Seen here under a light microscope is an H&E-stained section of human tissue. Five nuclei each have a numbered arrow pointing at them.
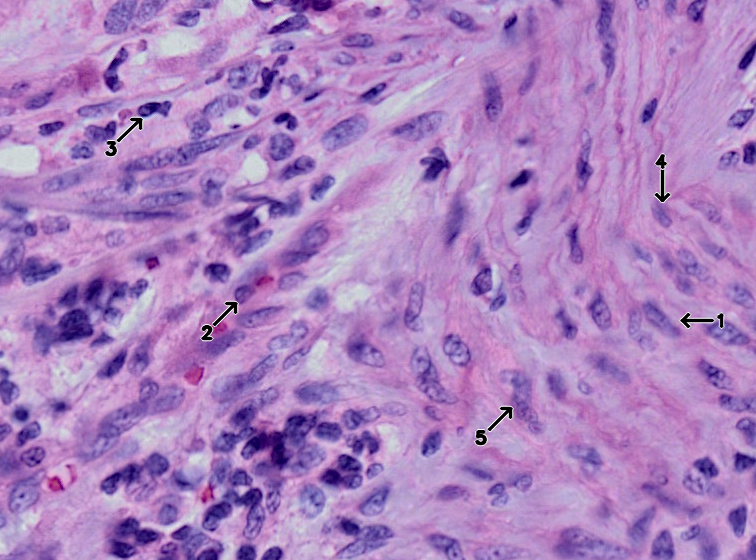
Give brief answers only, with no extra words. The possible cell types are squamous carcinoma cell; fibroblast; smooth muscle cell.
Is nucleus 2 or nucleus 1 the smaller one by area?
2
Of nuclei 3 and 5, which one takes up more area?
5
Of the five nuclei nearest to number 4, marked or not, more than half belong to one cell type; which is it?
smooth muscle cell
